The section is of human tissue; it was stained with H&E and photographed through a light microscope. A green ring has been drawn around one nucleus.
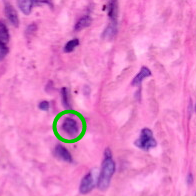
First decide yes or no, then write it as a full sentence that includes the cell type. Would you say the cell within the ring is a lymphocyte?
No, scored properly, the cell within the ring is a plasma cell rather than a lymphocyte.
